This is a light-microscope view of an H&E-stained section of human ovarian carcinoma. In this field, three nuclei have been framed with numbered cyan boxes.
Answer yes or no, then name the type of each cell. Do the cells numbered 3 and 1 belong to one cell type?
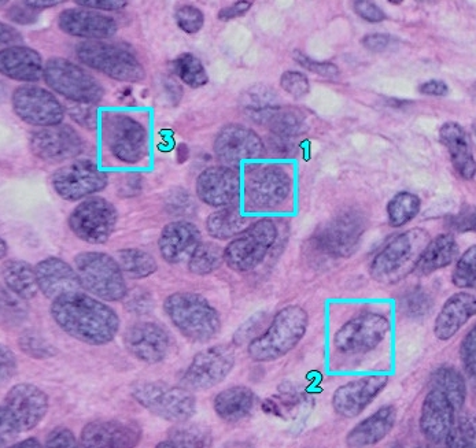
Yes, cells 3 and 1 are of one type, both being carcinoma cells.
